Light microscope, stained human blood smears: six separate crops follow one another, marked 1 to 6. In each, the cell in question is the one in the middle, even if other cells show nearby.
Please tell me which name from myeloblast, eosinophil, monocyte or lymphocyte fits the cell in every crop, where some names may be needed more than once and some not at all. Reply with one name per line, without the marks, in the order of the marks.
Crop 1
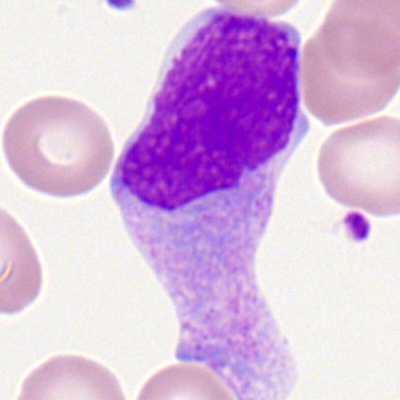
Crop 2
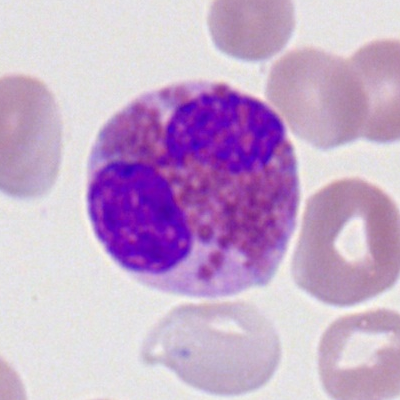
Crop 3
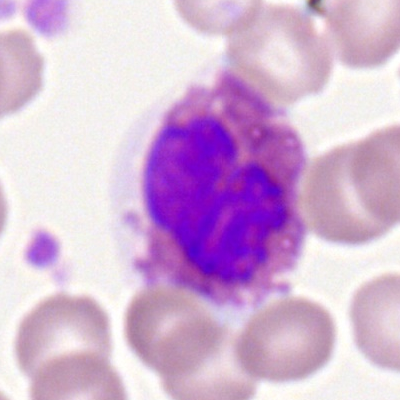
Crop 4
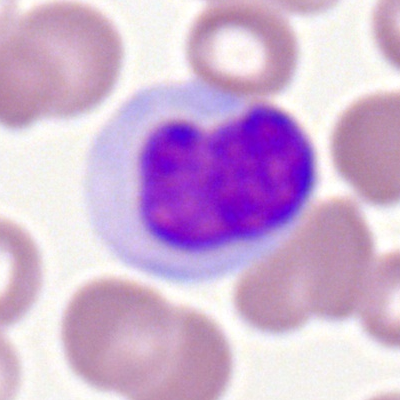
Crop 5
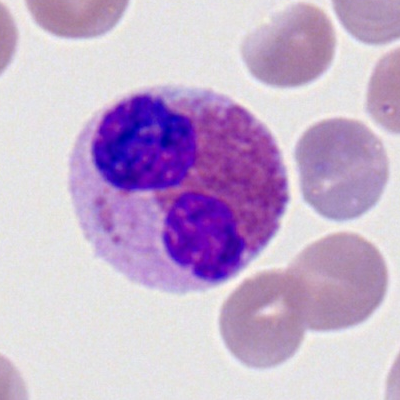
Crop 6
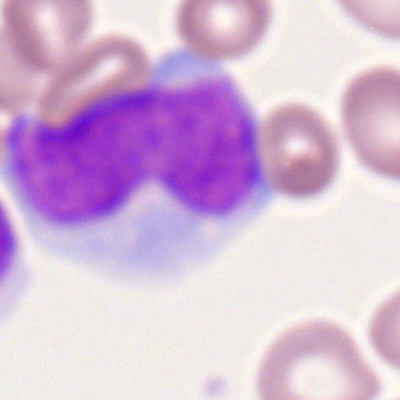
monocyte
eosinophil
eosinophil
monocyte
eosinophil
monocyte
